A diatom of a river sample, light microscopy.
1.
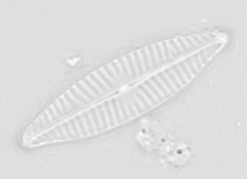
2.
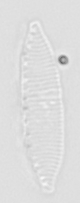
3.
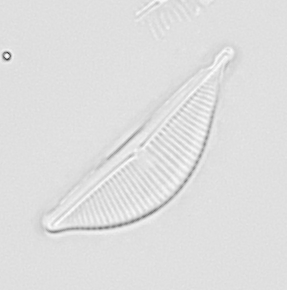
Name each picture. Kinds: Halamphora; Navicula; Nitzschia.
1: Navicula
2: Nitzschia
3: Halamphora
